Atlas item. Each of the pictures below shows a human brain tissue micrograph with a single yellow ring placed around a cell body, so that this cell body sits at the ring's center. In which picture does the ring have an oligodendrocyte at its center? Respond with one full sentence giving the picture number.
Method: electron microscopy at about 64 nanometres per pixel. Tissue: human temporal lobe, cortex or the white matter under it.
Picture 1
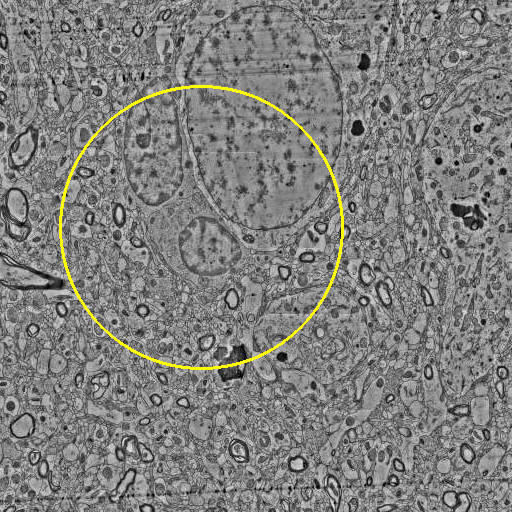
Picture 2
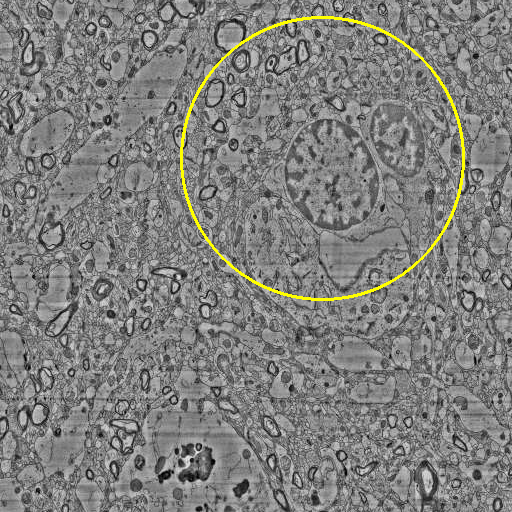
The cell at the ring's center that fits lies in picture 1.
